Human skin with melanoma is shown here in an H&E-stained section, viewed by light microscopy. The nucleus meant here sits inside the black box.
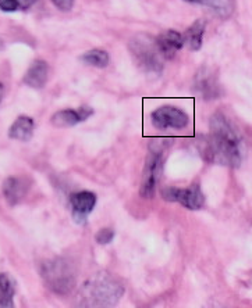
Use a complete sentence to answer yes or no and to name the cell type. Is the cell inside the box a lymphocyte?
Yes, it is accurate to say that the cell inside the box is a lymphocyte.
